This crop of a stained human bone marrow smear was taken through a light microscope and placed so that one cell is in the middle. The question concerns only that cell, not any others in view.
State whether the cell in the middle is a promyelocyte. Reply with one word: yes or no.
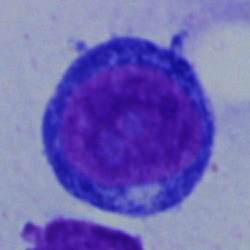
no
